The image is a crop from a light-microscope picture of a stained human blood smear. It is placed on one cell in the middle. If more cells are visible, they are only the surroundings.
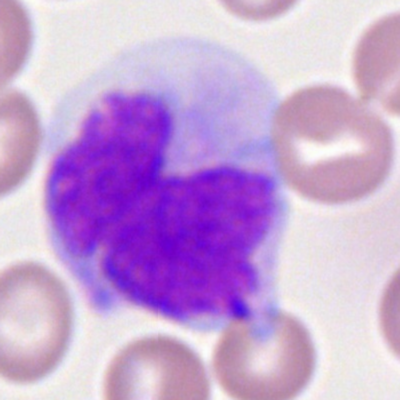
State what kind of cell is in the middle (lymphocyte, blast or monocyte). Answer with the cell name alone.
monocyte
